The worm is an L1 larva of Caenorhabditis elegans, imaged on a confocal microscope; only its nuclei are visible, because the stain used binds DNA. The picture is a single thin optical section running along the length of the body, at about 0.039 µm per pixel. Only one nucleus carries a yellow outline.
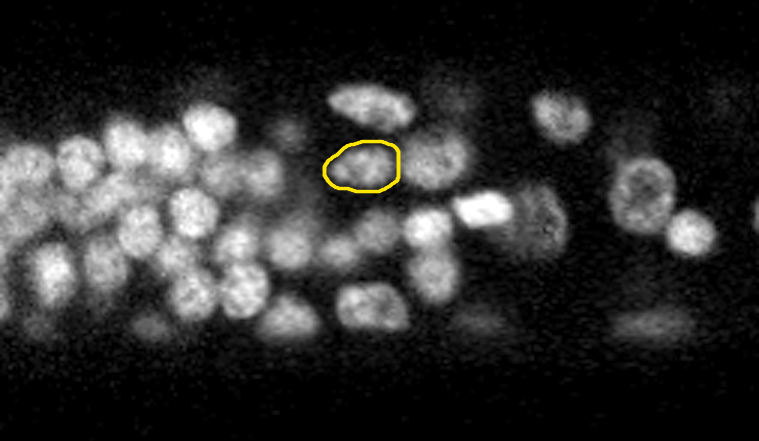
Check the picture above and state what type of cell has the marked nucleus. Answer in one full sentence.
It is the nucleus of a pharyngeal marginal cell.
